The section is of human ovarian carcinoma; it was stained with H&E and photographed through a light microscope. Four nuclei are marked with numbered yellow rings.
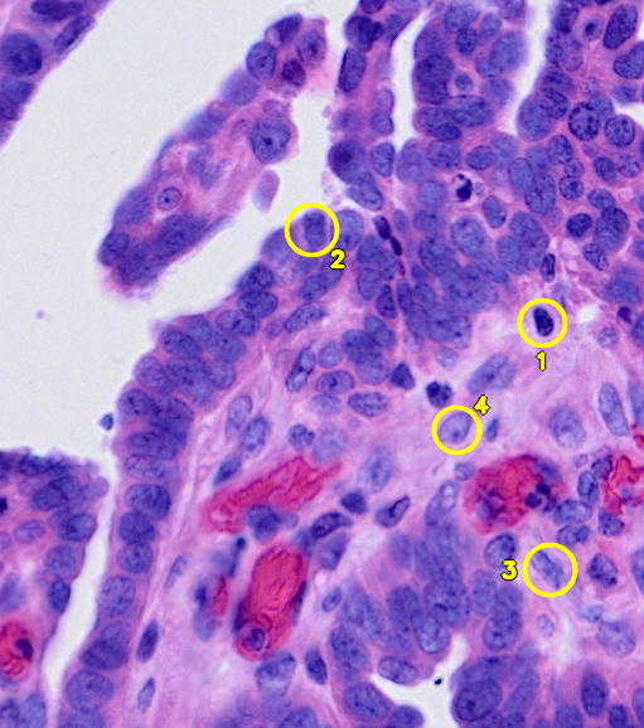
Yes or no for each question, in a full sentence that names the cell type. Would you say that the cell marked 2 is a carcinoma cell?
Yes, the cell carrying number 2 is a carcinoma cell.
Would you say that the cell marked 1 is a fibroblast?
No, the cell tagged 1 is a lymphocyte, not a fibroblast.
